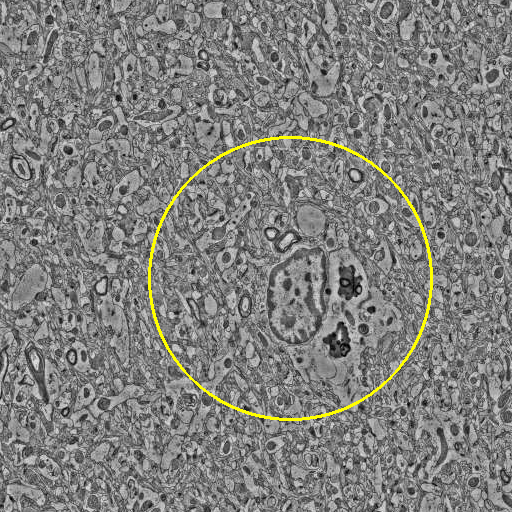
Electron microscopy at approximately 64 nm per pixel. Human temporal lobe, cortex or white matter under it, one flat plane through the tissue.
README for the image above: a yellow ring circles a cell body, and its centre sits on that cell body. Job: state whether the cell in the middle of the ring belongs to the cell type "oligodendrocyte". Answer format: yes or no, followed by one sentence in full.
No, in the image, the ring's central cell belongs to another type.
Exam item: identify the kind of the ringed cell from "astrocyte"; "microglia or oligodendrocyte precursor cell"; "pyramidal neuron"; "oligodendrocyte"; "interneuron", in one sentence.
It is a microglial cell or oligodendrocyte precursor cell that the ring is centred on.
